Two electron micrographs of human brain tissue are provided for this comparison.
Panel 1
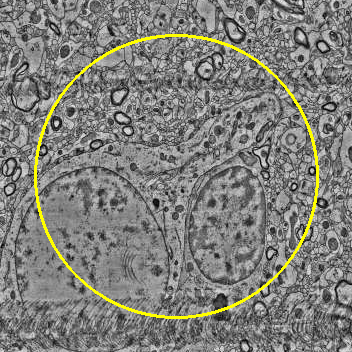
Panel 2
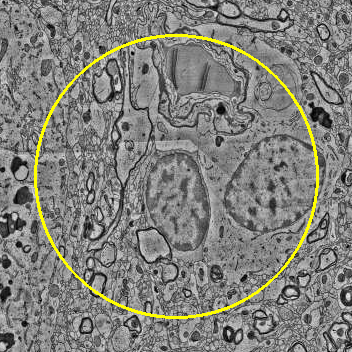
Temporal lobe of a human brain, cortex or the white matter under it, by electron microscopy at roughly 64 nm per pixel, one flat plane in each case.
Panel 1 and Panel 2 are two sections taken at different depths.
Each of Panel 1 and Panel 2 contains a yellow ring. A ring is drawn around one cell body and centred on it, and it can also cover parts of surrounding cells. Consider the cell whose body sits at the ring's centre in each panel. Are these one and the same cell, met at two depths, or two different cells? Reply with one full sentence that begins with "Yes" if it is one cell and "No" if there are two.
No, two distinct cells are each enclosed by a yellow ring.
